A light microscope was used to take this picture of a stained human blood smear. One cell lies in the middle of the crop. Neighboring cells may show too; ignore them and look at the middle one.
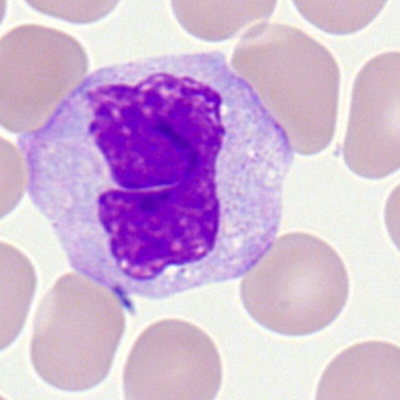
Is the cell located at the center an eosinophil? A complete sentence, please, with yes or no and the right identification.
No, the central cell should be identified as a monocyte, not as an eosinophil.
